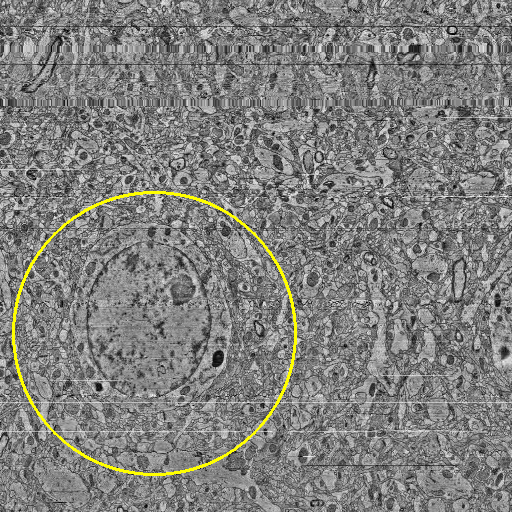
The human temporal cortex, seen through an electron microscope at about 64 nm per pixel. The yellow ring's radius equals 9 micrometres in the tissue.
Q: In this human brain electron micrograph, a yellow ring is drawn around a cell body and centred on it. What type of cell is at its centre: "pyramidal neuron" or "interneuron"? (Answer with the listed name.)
pyramidal neuron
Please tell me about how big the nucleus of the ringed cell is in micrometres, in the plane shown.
About 10 by 8 micrometres in this plane.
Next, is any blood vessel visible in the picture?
No, there is no blood vessel.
